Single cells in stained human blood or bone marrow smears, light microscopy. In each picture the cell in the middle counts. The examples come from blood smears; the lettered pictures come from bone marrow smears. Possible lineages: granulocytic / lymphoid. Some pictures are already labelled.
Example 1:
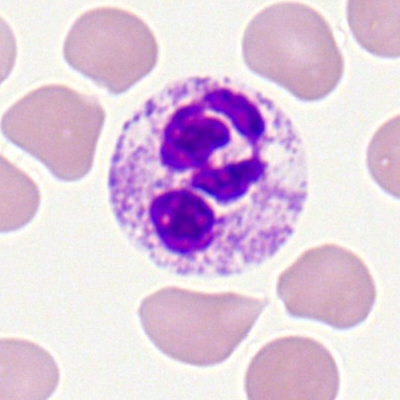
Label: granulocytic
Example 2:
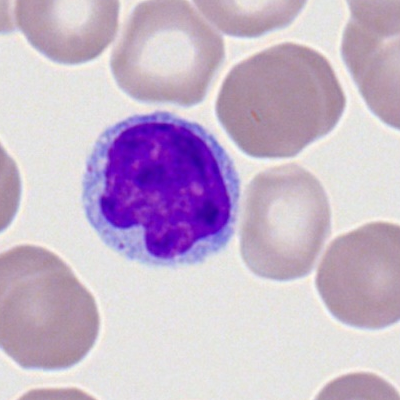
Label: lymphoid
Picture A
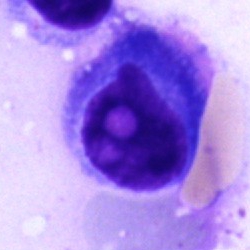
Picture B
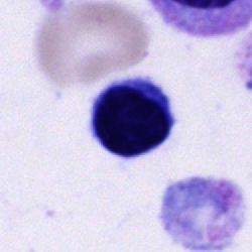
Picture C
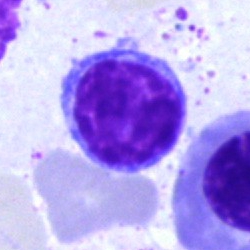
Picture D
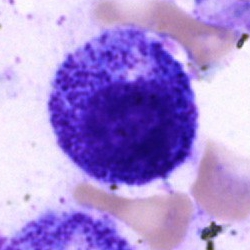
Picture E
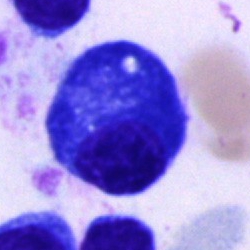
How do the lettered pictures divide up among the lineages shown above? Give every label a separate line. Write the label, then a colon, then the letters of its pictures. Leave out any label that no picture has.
granulocytic: D
lymphoid: A, B, C, E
